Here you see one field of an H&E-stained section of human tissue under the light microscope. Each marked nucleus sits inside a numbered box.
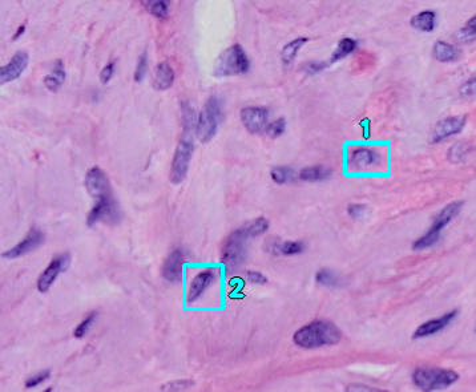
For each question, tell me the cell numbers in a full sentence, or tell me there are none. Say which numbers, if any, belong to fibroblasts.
Of the numbered nuclei, only the one labelled 2 belongs to a fibroblast.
